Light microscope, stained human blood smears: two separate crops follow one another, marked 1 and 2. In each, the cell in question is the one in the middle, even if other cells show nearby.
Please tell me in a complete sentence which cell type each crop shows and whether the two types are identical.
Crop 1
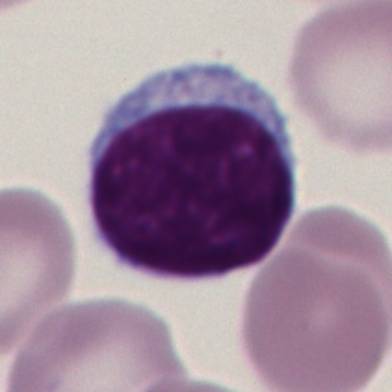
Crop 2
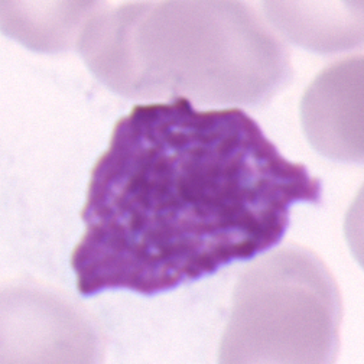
No, crop 1 and crop 2 contain, respectively, a typical lymphocyte and a smudge cell.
